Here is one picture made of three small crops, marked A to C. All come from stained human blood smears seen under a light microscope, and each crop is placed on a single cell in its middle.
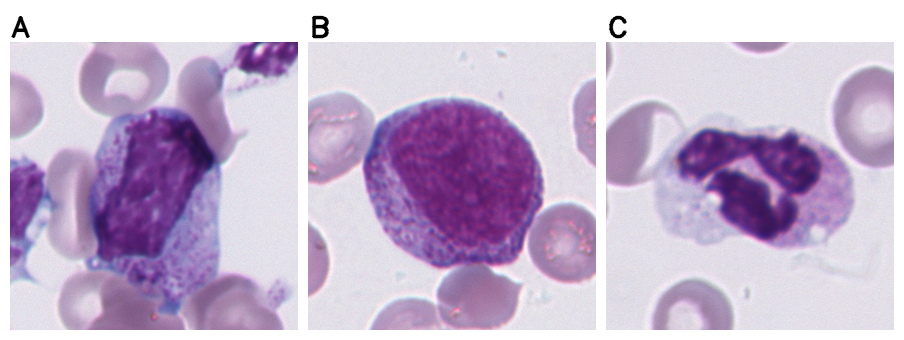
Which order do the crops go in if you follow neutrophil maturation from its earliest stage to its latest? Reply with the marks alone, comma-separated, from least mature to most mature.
B, A, C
